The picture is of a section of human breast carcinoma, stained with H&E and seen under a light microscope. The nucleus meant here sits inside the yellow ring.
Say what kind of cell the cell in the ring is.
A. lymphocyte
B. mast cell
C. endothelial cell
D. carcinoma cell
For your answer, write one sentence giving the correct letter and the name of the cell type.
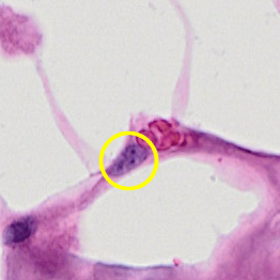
The correct option here, C, identifies the cell in the ring as an endothelial cell.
